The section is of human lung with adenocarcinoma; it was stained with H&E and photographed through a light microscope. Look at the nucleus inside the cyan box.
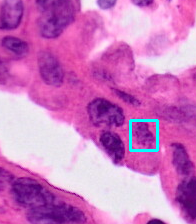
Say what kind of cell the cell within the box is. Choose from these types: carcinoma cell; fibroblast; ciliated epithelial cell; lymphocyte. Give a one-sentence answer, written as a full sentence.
It is as a carcinoma cell that the cell within the box is classified.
